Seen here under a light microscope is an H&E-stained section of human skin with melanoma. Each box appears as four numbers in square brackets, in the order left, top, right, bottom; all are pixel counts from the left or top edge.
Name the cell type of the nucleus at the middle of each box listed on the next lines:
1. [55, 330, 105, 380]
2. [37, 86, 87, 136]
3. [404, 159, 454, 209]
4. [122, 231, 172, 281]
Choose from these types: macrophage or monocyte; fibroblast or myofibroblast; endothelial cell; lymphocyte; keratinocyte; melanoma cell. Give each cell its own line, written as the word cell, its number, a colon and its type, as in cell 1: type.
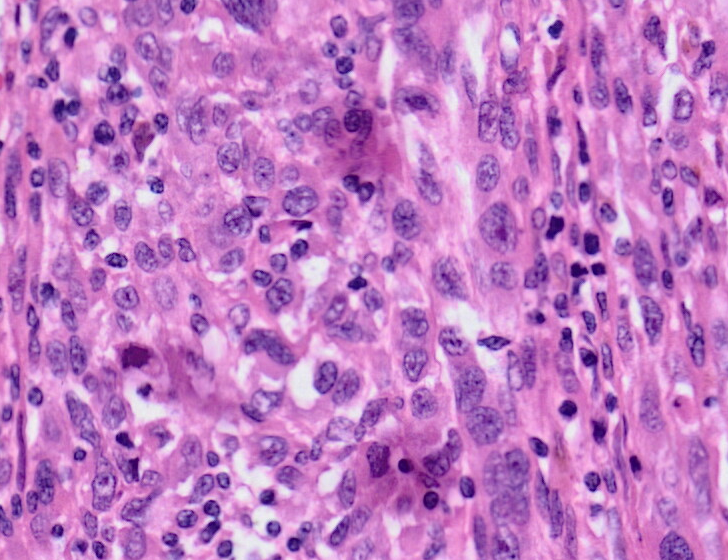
cell 1: melanoma cell
cell 2: lymphocyte
cell 3: melanoma cell
cell 4: melanoma cell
